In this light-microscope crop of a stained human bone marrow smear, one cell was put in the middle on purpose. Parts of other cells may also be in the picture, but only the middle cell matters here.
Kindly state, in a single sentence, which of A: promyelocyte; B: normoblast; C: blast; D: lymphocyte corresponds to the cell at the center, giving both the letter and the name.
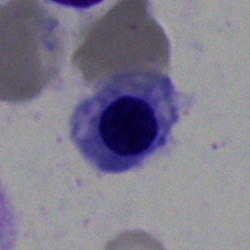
The correct option here is B; the middle cell is a normoblast.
